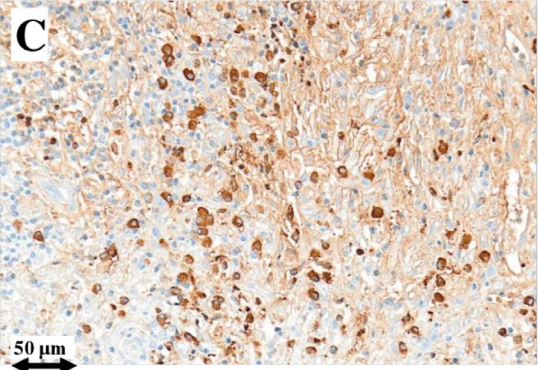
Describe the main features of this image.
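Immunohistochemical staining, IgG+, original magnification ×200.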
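Interstitial infiltrate in which many plasma cells stand out by dense brown cytoplasm. The brown cells are round to oval, with blue nuclei often pushed to one side. They are scattered densely among unstained small cells with blue round nuclei. A fainter brown tinge runs along fibrillar material between the cells. On the right edge a few empty lumina lined by flat cells are seen.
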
